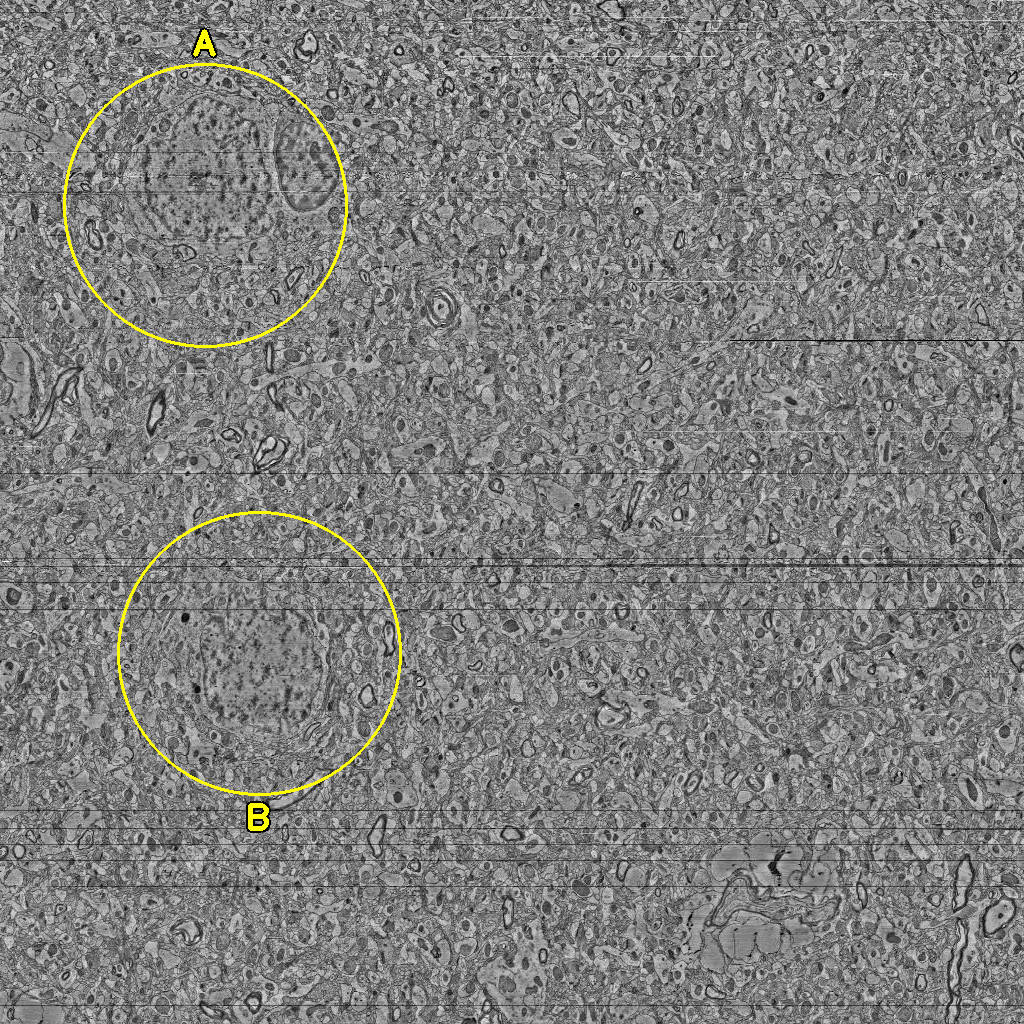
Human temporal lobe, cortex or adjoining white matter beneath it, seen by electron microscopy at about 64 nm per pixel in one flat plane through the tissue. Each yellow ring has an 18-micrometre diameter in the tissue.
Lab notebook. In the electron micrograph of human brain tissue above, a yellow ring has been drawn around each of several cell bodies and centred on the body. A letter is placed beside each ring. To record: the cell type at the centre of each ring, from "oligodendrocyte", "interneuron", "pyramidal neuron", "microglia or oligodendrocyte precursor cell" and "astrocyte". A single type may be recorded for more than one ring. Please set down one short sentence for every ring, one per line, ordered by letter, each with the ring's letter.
The centre of ring A is occupied by an interneuron.
The centre of ring B is occupied by an interneuron.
